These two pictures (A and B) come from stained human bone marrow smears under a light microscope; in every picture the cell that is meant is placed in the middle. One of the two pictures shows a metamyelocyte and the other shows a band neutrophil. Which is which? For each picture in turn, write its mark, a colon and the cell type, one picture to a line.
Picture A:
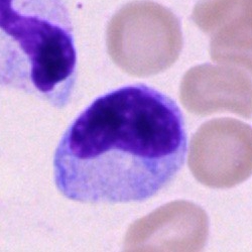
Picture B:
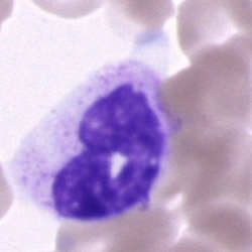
A: metamyelocyte
B: band neutrophil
